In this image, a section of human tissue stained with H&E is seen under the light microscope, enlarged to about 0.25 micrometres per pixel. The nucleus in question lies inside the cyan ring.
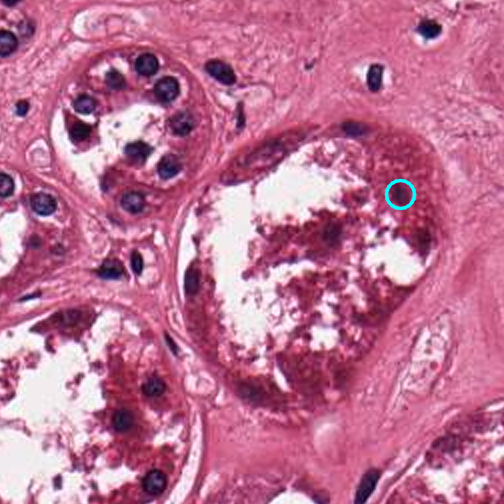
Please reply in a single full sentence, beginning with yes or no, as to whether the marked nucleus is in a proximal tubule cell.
Yes, the marked nucleus is the nucleus of a proximal tubule cell in this section.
